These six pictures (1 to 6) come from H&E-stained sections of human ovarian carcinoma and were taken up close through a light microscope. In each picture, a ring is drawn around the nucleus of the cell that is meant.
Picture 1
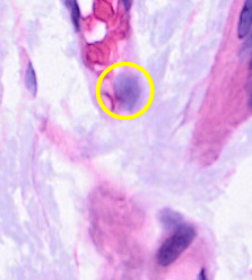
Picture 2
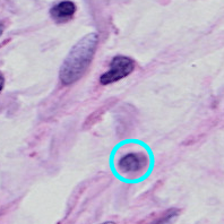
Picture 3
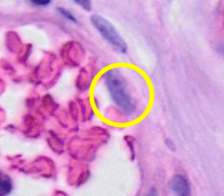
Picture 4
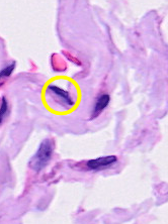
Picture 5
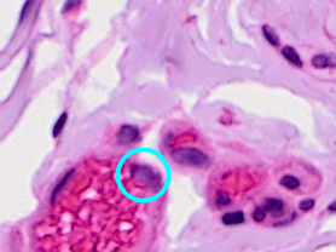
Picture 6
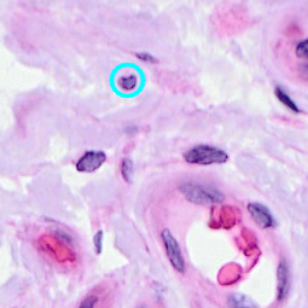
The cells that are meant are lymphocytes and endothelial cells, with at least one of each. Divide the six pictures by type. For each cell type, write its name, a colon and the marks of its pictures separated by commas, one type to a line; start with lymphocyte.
lymphocyte: 2, 6
endothelial cell: 1, 3, 4, 5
